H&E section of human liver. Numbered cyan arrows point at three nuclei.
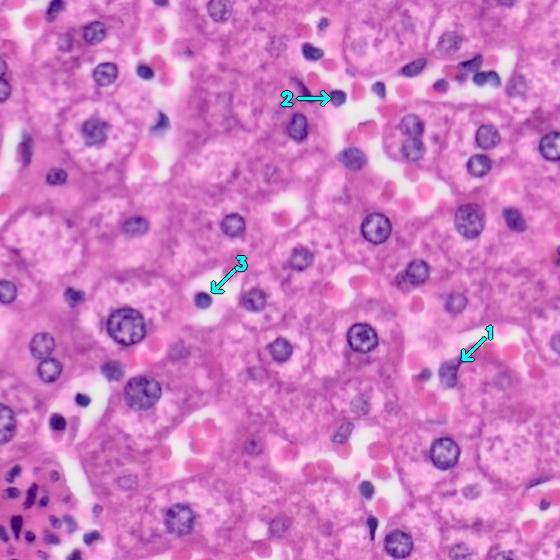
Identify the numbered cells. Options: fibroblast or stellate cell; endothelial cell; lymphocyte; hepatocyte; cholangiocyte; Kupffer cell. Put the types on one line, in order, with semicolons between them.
Kupffer cell; lymphocyte; lymphocyte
